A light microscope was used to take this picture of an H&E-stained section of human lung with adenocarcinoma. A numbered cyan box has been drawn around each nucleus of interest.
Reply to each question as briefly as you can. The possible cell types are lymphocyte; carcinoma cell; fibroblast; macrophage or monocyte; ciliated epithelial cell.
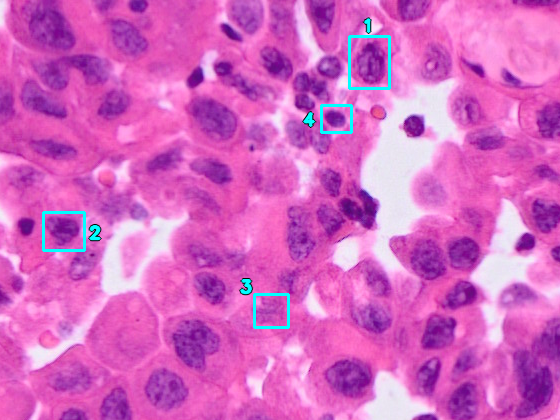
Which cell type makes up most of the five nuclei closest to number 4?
macrophage or monocyte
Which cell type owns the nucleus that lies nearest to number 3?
carcinoma cell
